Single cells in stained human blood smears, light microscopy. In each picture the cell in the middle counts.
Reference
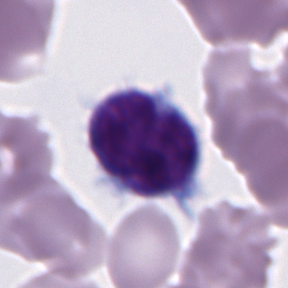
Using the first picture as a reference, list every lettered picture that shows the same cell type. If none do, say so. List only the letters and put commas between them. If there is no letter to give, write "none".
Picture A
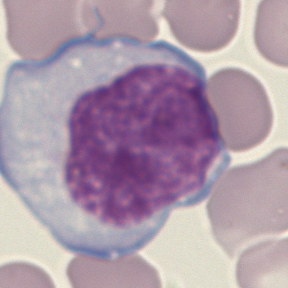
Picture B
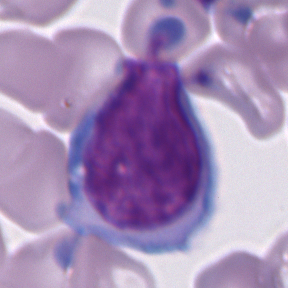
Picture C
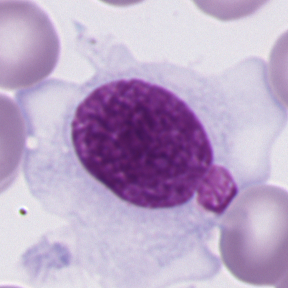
C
